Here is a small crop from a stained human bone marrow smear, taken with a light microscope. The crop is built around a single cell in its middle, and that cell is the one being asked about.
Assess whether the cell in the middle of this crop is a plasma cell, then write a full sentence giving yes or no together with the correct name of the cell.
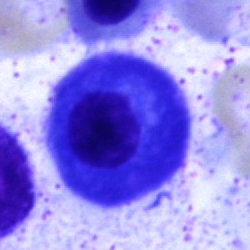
Yes, what sits in the middle of the crop is a plasma cell.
